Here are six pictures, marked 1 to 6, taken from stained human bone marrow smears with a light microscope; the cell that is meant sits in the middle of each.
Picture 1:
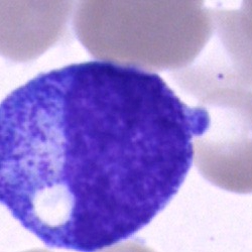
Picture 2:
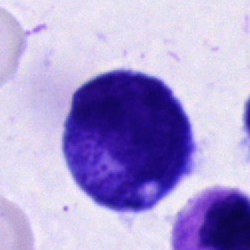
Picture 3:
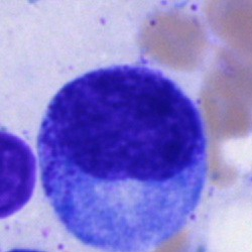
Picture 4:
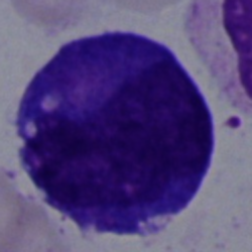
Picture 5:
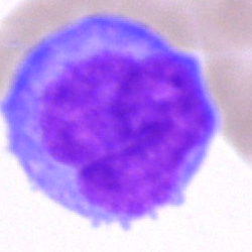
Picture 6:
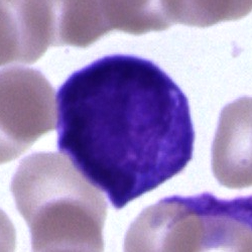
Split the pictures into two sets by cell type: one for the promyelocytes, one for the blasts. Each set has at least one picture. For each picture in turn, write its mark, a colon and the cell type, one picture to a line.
1: promyelocyte
2: promyelocyte
3: promyelocyte
4: blast
5: blast
6: blast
